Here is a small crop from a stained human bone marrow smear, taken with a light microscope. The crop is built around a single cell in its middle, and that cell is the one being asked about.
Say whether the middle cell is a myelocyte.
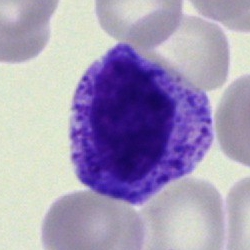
yes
